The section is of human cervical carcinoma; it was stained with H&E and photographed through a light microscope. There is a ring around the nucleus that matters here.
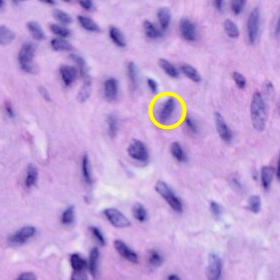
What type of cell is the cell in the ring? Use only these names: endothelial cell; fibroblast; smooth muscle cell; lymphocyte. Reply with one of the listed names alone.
fibroblast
